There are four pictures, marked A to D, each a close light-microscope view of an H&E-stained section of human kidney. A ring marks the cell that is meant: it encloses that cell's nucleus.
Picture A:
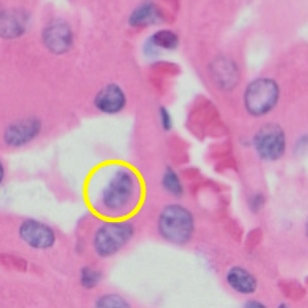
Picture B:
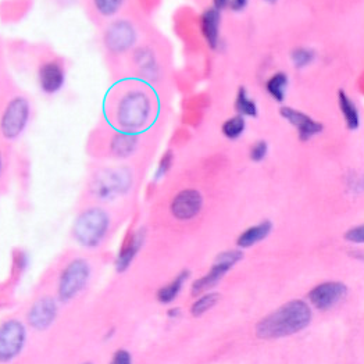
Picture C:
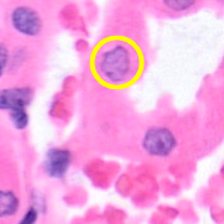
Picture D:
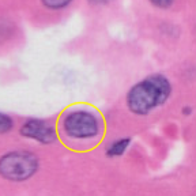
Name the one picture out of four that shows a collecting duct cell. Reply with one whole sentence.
Picture B is the one that shows the collecting duct cell.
